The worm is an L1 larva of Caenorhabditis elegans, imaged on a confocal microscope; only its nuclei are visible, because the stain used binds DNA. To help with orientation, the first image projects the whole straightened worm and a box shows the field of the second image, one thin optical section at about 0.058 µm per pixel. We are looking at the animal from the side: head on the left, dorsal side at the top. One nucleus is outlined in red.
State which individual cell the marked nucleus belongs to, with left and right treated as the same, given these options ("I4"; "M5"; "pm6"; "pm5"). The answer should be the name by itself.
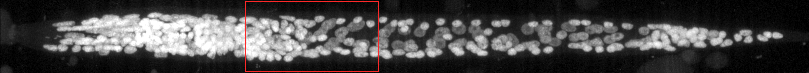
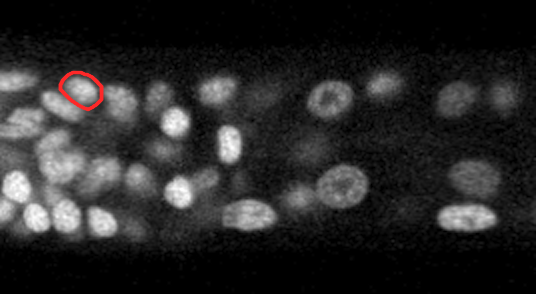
I4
